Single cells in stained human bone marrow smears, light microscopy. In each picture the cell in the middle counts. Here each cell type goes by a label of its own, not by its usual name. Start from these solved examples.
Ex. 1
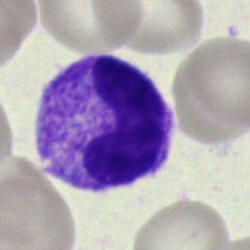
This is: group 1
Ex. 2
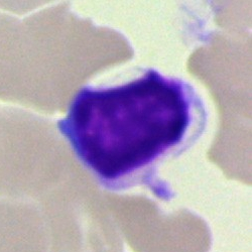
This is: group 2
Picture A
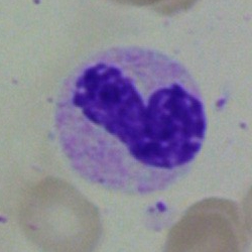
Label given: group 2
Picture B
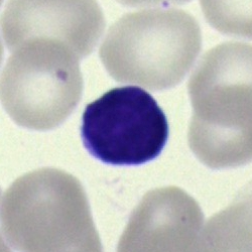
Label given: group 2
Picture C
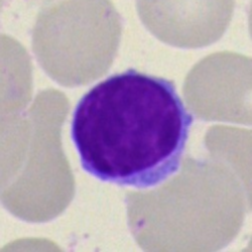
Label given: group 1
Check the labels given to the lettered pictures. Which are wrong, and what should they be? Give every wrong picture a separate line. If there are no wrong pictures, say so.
A should be group 1, not group 2
C should be group 2, not group 1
